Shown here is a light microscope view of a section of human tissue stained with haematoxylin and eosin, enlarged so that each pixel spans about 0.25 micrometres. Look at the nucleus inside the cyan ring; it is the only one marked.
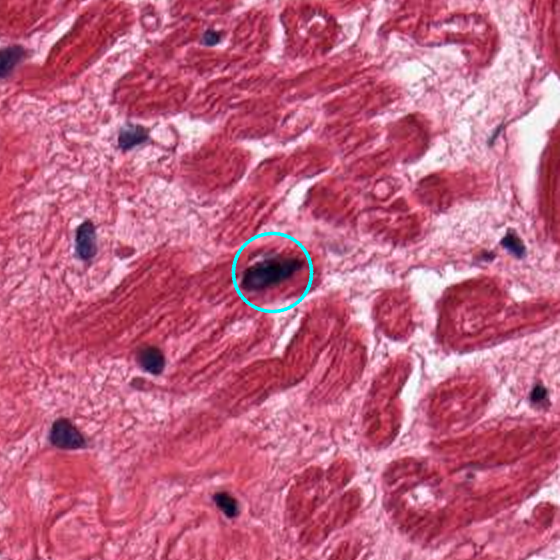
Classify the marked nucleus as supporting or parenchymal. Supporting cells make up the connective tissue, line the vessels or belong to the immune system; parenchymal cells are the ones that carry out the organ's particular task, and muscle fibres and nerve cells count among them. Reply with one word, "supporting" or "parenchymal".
parenchymal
